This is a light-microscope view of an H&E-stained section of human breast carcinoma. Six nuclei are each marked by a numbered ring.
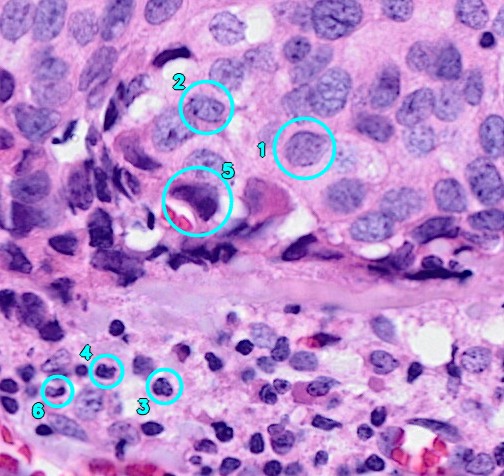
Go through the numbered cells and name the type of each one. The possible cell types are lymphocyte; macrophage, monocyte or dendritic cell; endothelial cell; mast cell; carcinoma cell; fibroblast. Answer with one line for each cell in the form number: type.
1: carcinoma cell
2: carcinoma cell
3: lymphocyte
4: lymphocyte
5: carcinoma cell
6: lymphocyte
